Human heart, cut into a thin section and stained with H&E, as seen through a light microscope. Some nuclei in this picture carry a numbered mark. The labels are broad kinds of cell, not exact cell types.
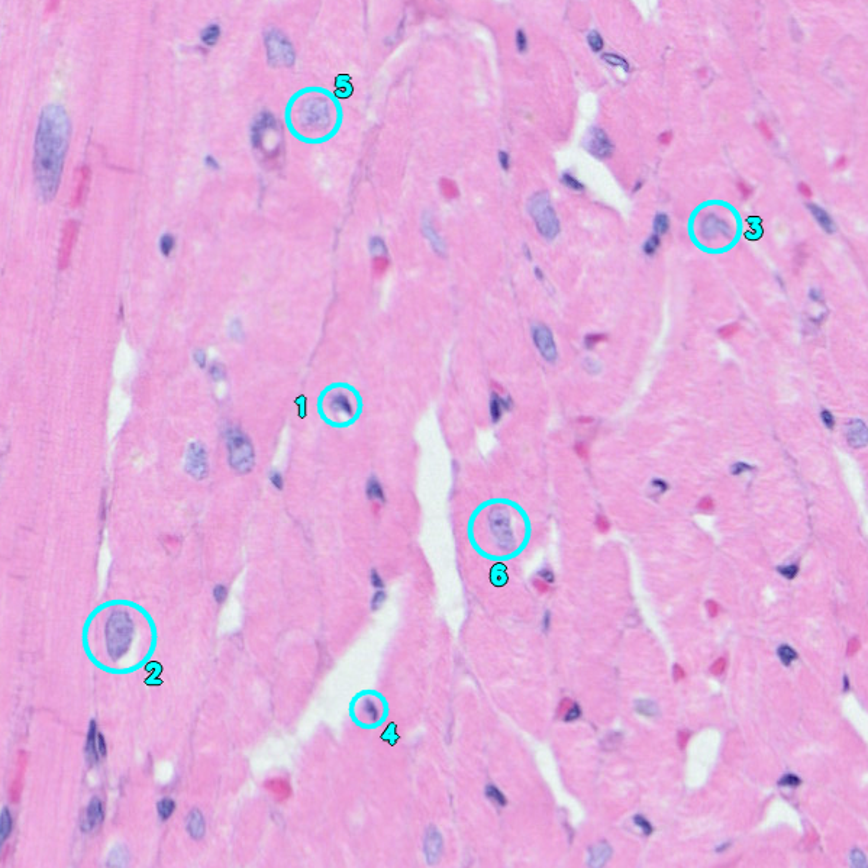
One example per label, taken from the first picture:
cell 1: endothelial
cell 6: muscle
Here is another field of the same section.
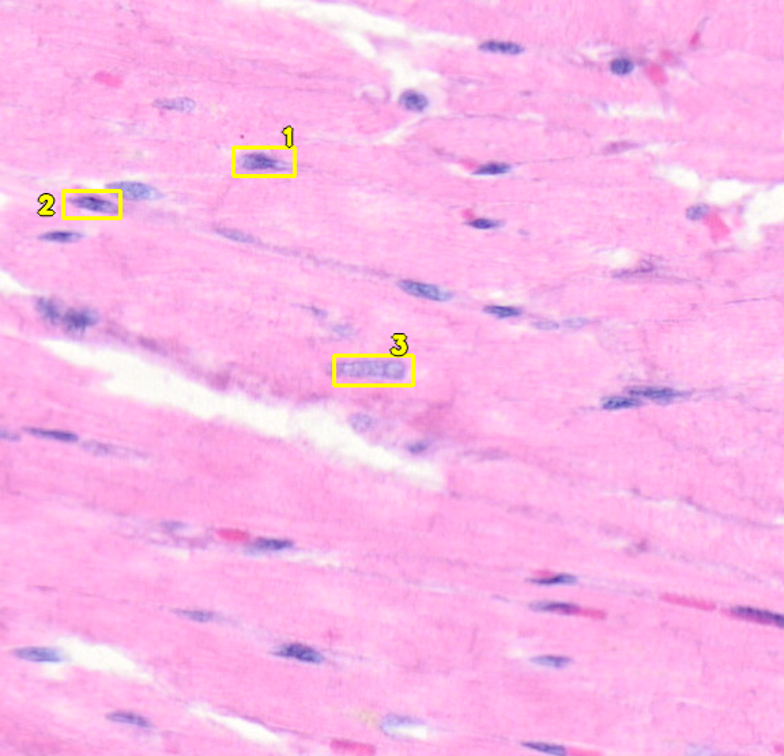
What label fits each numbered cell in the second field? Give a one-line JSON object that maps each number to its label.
{"1": "endothelial", "2": "endothelial", "3": "muscle"}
